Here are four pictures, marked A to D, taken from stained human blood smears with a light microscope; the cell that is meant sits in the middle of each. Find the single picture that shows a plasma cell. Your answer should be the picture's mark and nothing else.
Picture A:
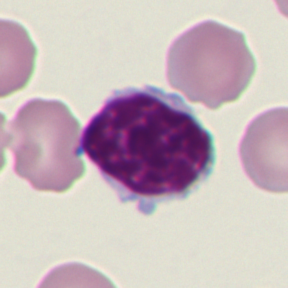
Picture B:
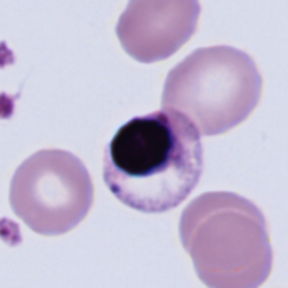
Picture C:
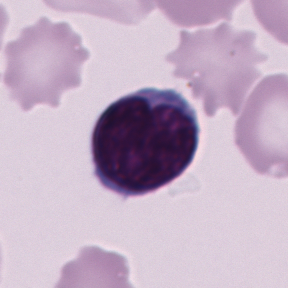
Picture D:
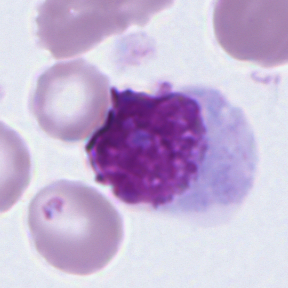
D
